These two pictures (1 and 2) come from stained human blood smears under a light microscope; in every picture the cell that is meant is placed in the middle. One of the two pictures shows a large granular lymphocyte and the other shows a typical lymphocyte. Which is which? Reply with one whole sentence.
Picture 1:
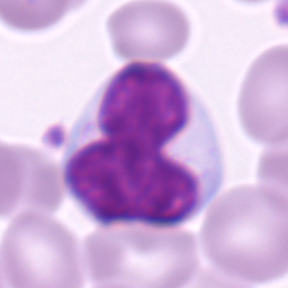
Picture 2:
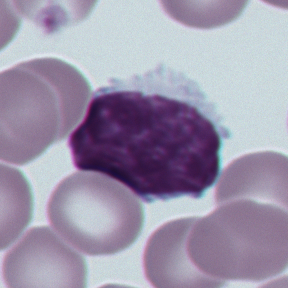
Picture 2 shows a typical lymphocyte, while picture 1 shows a large granular lymphocyte.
